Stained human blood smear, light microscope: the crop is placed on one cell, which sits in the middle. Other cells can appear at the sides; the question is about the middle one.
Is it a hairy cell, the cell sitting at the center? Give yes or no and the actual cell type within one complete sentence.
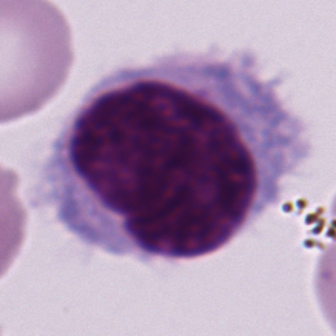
Yes, the cell that is in the middle is a hairy cell.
